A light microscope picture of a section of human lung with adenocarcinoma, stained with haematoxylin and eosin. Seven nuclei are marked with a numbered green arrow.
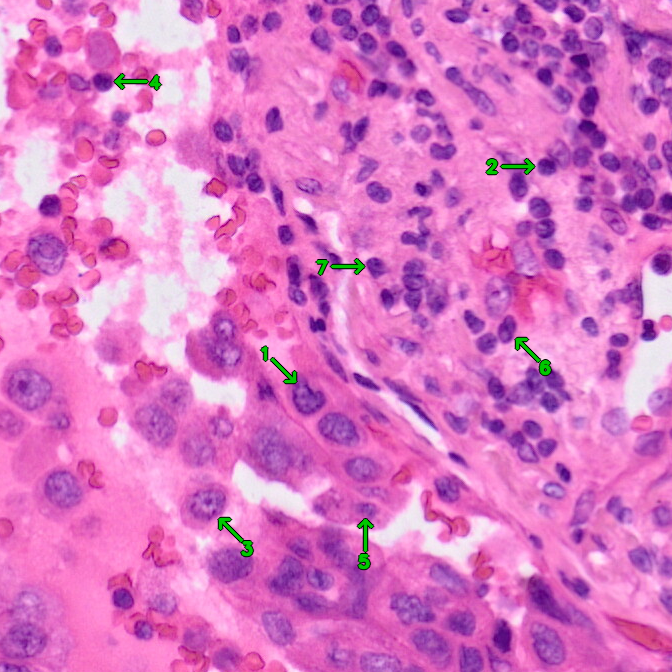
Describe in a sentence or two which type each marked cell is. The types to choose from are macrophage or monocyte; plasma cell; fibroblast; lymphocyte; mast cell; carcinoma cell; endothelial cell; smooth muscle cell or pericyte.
Cells 1, 3 and 5 are carcinoma cells. Cells 2, 4, 6 and 7 are lymphocytes.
